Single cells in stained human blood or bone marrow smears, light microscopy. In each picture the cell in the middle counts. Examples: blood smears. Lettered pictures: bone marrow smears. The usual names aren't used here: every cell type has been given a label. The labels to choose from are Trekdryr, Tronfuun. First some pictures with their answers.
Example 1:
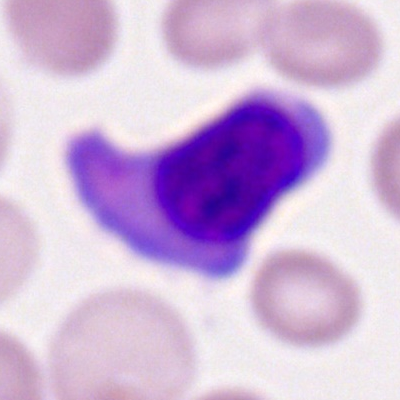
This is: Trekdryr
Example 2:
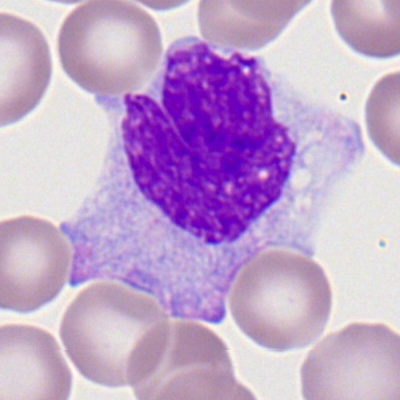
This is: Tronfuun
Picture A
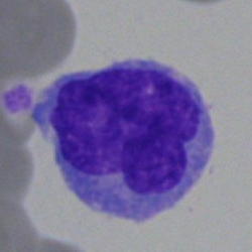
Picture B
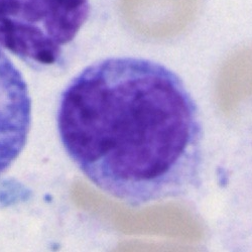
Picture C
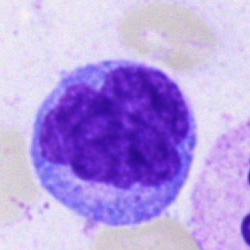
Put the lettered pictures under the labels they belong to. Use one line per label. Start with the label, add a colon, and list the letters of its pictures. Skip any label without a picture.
Tronfuun: A, B, C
